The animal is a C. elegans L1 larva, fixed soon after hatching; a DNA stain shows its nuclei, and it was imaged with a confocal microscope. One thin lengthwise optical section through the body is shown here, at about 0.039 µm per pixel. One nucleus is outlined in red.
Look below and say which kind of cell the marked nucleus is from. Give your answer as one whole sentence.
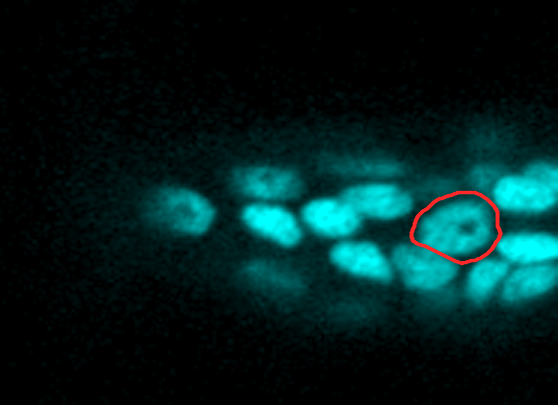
What is marked is the nucleus of a seam cell.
